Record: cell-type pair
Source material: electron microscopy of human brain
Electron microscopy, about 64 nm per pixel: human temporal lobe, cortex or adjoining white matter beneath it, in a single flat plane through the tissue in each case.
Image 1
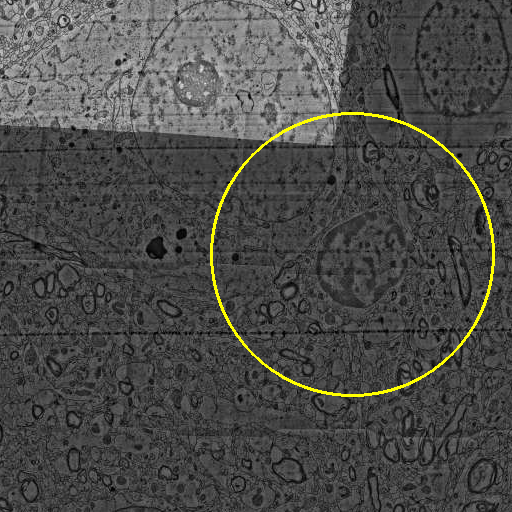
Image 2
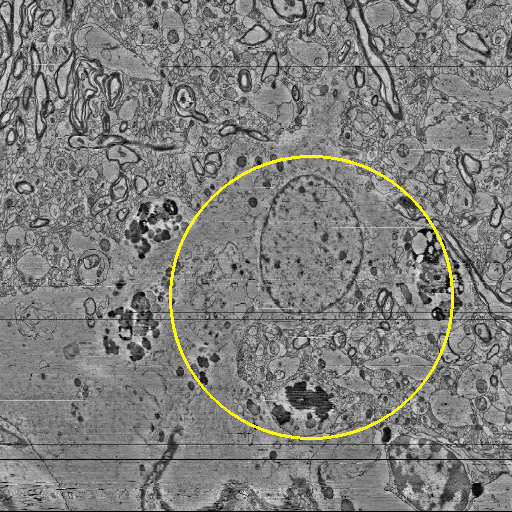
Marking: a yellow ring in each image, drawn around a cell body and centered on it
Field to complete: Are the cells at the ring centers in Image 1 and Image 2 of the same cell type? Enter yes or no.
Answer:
no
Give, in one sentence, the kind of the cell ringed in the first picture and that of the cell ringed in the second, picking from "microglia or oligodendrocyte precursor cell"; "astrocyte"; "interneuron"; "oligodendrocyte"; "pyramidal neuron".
For the first picture it is a microglial cell or oligodendrocyte precursor cell; for the second, an astrocyte.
